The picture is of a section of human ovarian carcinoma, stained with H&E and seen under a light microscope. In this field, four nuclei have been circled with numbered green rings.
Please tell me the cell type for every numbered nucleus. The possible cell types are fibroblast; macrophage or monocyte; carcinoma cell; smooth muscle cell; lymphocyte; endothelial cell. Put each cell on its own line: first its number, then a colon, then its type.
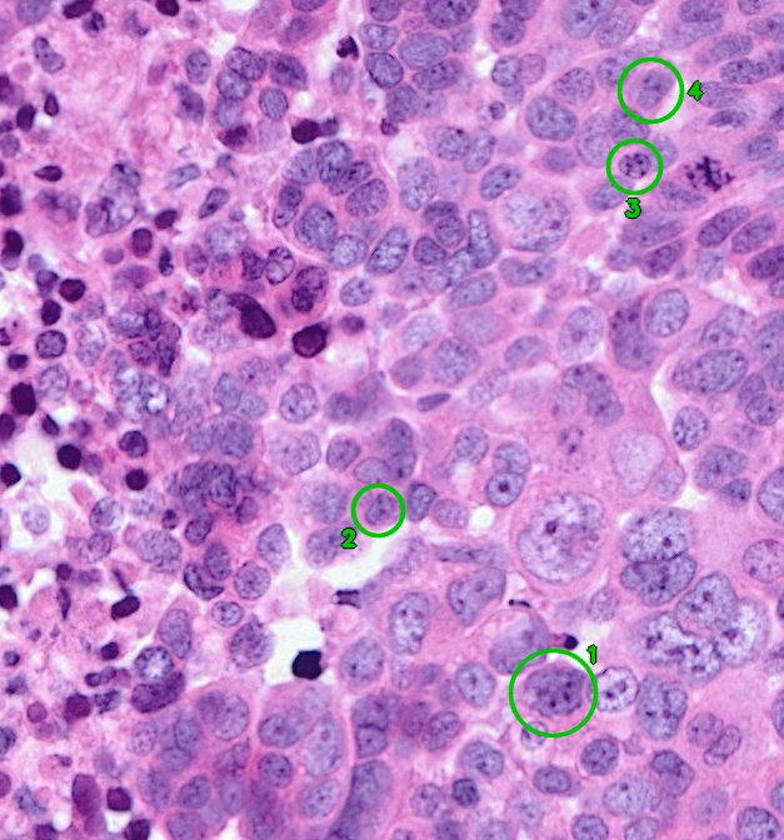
1: carcinoma cell
2: carcinoma cell
3: lymphocyte
4: carcinoma cell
